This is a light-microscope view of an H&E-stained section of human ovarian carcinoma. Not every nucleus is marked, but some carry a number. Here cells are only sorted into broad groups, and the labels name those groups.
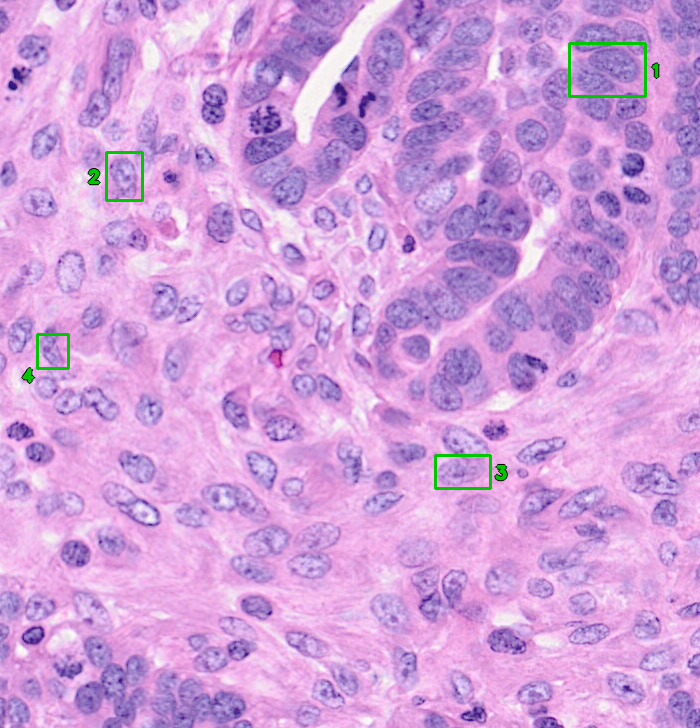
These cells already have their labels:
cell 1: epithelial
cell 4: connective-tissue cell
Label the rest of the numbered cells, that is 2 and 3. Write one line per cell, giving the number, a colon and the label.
2: connective-tissue cell
3: connective-tissue cell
